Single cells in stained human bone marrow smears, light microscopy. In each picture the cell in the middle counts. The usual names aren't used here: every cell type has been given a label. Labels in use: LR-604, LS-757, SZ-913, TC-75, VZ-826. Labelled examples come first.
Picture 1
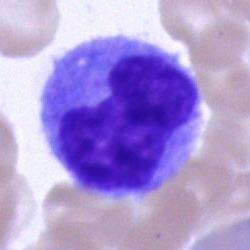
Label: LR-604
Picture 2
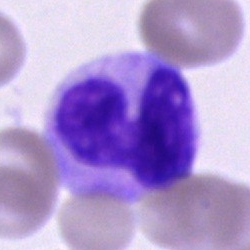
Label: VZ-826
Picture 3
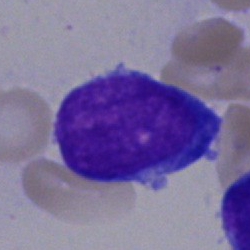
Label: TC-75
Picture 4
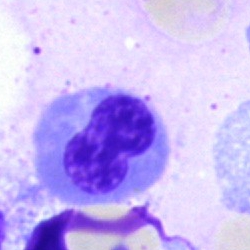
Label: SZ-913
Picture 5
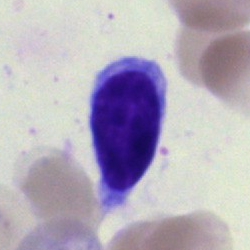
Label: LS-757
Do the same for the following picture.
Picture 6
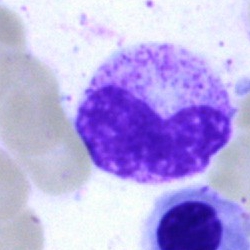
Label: VZ-826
